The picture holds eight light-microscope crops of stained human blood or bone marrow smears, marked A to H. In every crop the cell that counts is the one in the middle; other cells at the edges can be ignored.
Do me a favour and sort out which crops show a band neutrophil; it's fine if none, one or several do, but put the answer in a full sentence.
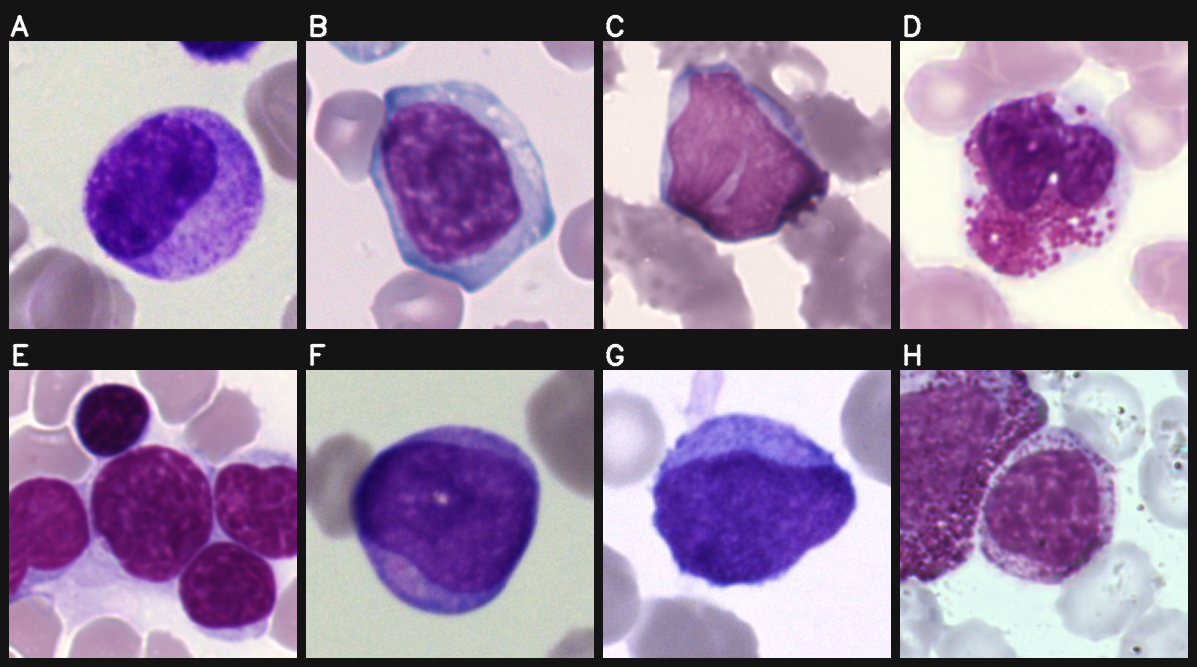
Checked all crops, and not one shows a band neutrophil.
